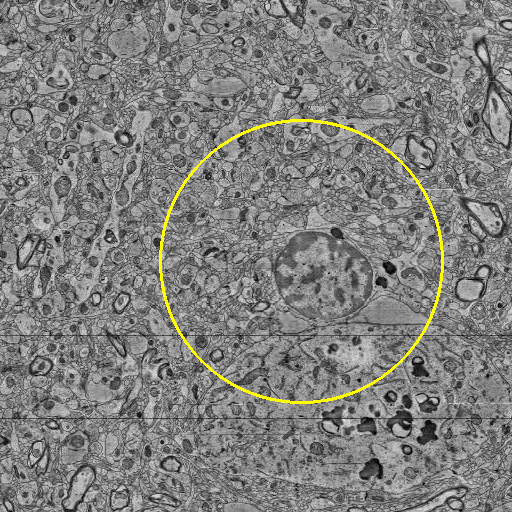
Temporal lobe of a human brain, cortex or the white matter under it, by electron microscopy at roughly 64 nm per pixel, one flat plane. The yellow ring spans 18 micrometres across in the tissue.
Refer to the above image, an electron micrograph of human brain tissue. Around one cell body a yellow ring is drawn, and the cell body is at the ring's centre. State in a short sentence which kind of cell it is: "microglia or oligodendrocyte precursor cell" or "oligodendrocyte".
The centre of the ring falls on a microglial cell or oligodendrocyte precursor cell.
